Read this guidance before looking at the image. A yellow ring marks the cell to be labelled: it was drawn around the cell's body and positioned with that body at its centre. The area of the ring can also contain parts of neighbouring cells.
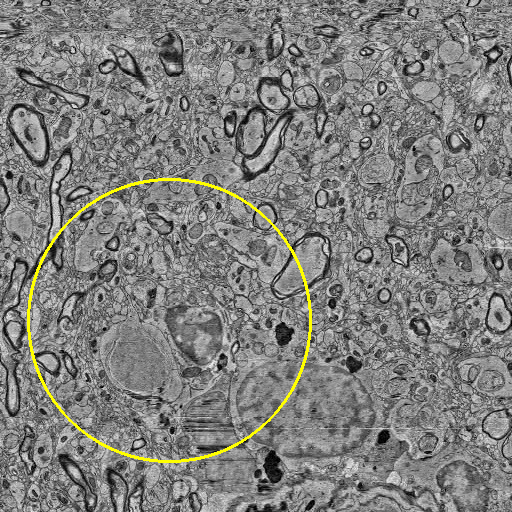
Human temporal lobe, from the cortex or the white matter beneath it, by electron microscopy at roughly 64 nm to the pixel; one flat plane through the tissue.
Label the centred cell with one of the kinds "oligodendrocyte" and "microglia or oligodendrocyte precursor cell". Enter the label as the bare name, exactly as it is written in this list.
microglia or oligodendrocyte precursor cell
